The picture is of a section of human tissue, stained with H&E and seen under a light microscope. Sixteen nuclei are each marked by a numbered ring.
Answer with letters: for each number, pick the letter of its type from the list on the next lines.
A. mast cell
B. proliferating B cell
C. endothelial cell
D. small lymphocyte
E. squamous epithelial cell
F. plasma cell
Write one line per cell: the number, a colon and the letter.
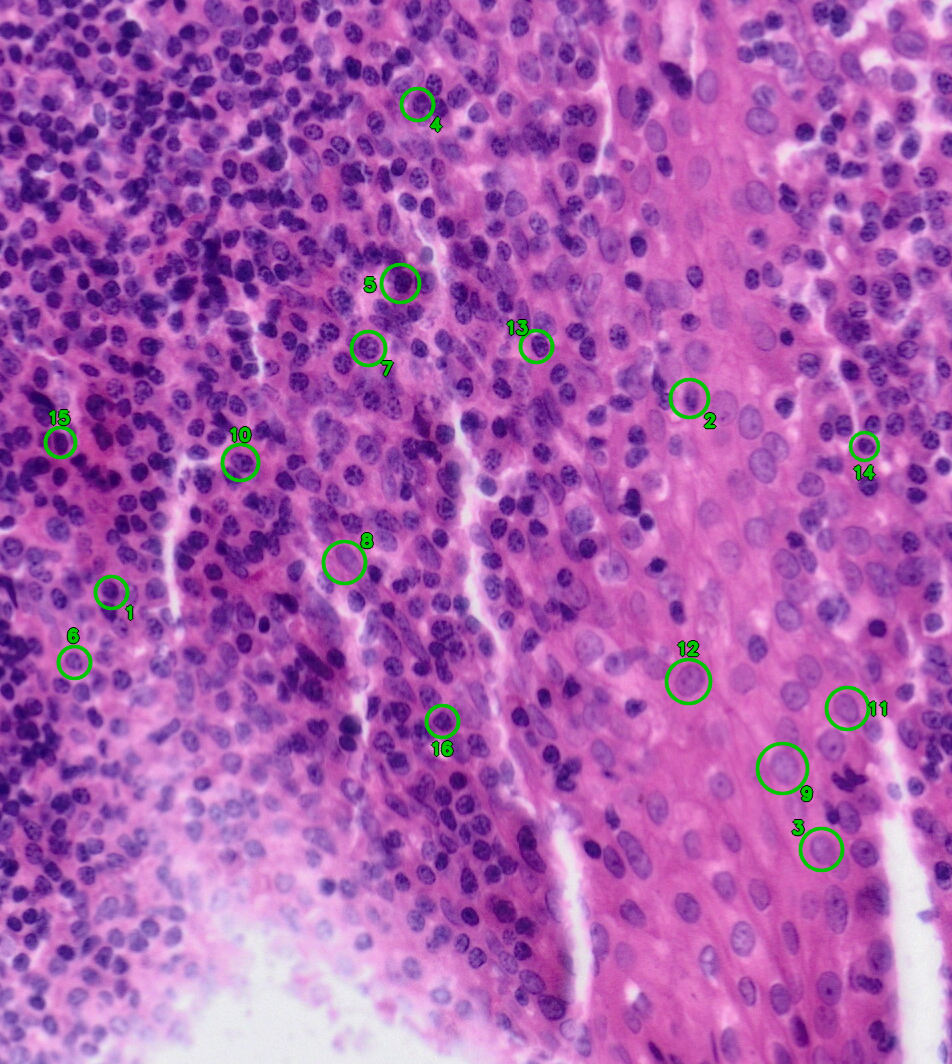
1: F
2: E
3: E
4: F
5: E
6: F
7: F
8: E
9: E
10: F
11: E
12: E
13: F
14: F
15: F
16: F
